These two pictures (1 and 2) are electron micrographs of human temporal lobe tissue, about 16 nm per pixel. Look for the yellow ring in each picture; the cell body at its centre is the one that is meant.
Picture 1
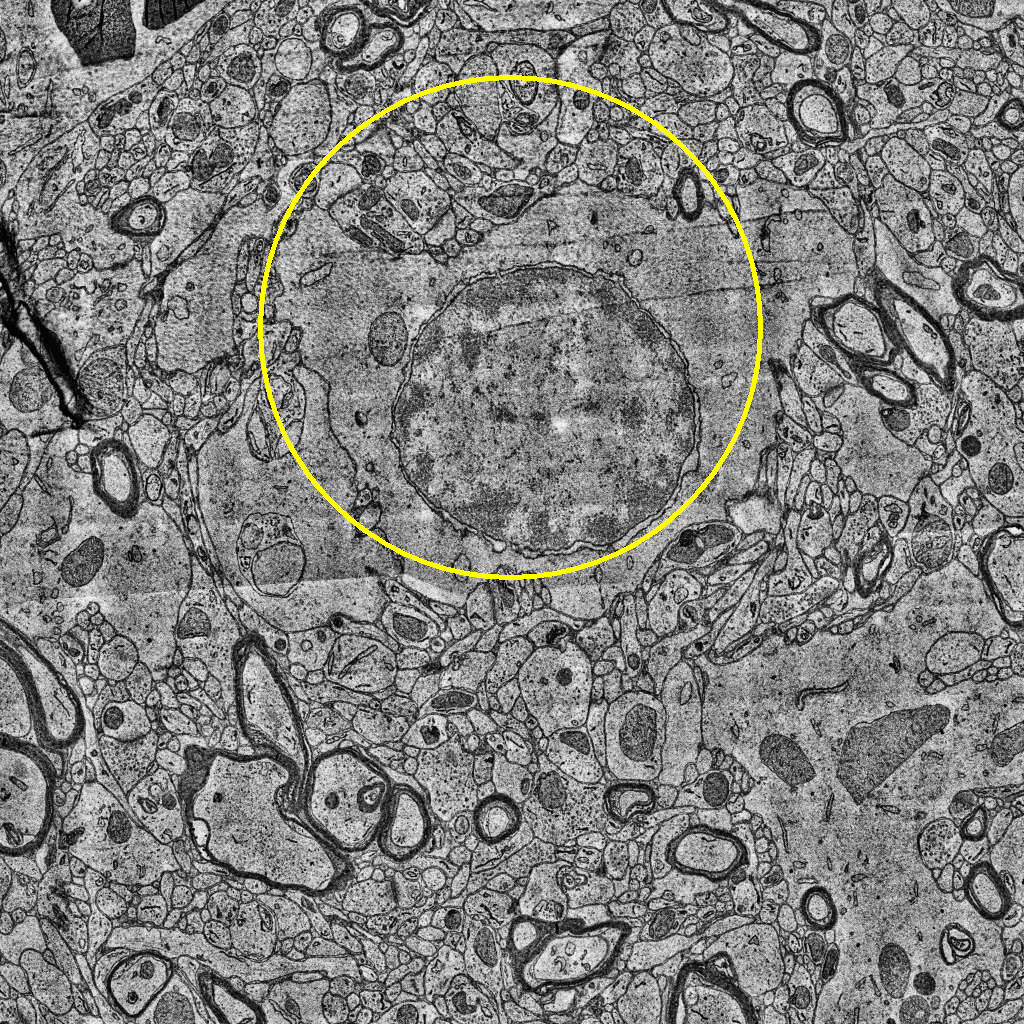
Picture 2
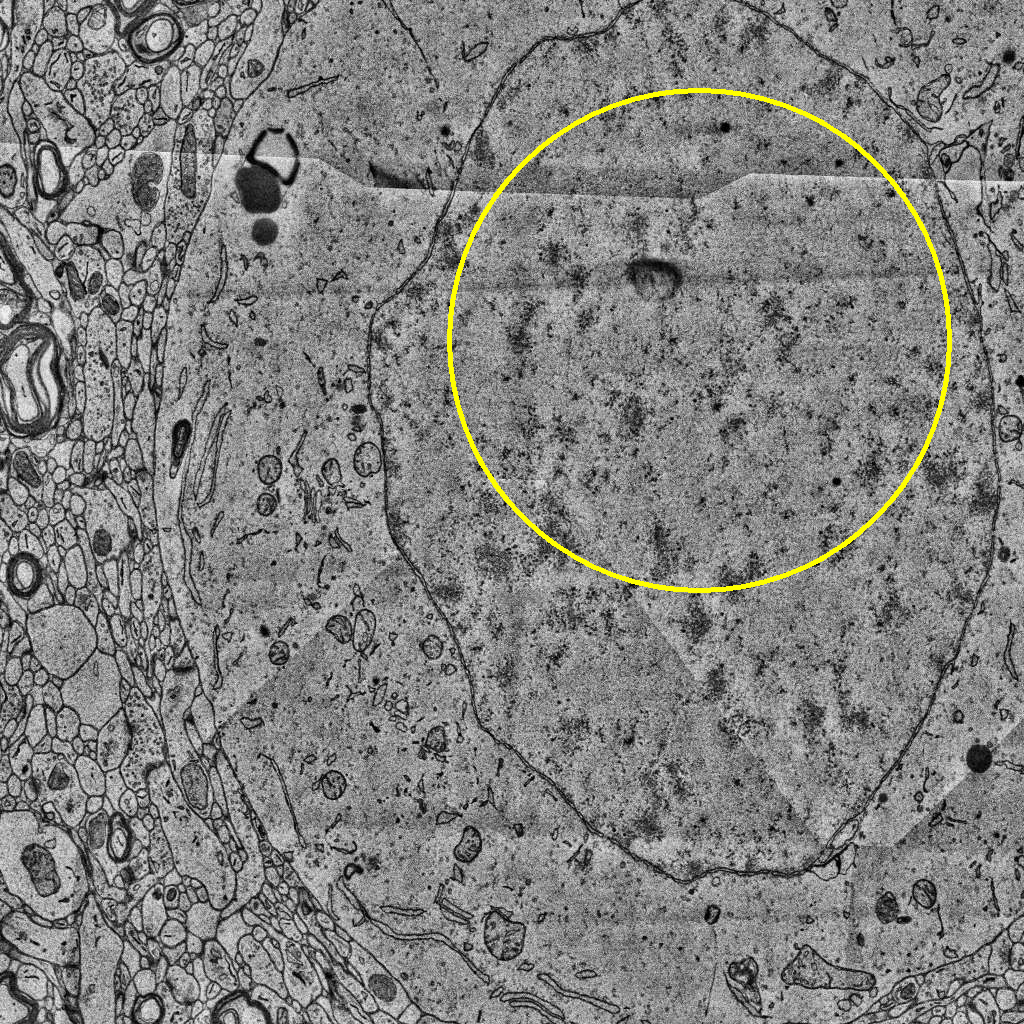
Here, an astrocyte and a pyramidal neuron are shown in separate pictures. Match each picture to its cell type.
Picture 1 shows an astrocyte and picture 2 shows a pyramidal neuron.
